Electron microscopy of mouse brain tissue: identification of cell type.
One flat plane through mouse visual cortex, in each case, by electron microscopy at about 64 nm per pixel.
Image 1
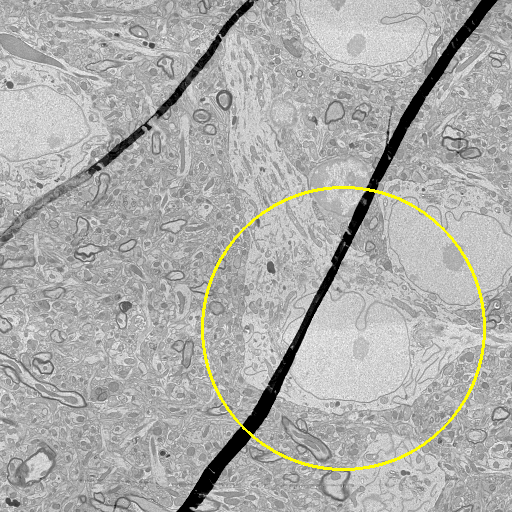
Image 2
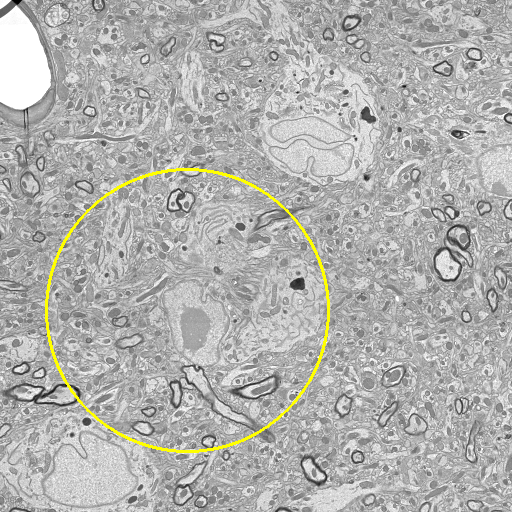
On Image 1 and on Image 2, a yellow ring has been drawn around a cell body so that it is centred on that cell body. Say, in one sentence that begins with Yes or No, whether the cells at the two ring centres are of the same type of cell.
No, the two cells are two separate types of cell.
